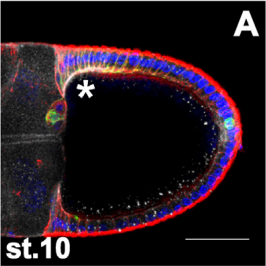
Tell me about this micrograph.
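An egg chamber with nurse cells at the left and a large oocyte filling the right side. At the anterior border of the oocyte, follicle cells begin to turn inward between nurse cells and oocyte, with green and white outlining these anterior cells. A small rounded cluster of border cells, outlined in green and red, sits at the anterior edge of the oocyte near its middle. A small green spot marks the posterior pole of the epithelium.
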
